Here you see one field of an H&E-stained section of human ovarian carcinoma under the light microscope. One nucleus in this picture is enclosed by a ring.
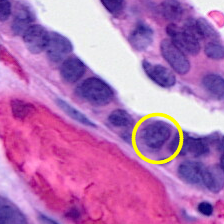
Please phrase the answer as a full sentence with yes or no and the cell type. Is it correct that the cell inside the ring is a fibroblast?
No, the cell inside the ring is a carcinoma cell rather than a fibroblast.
